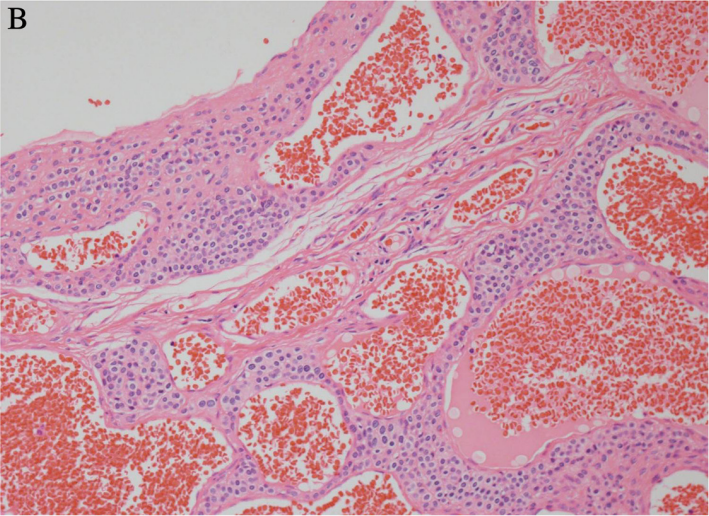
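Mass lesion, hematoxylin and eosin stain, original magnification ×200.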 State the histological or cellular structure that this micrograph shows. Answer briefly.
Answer: Blood vessels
